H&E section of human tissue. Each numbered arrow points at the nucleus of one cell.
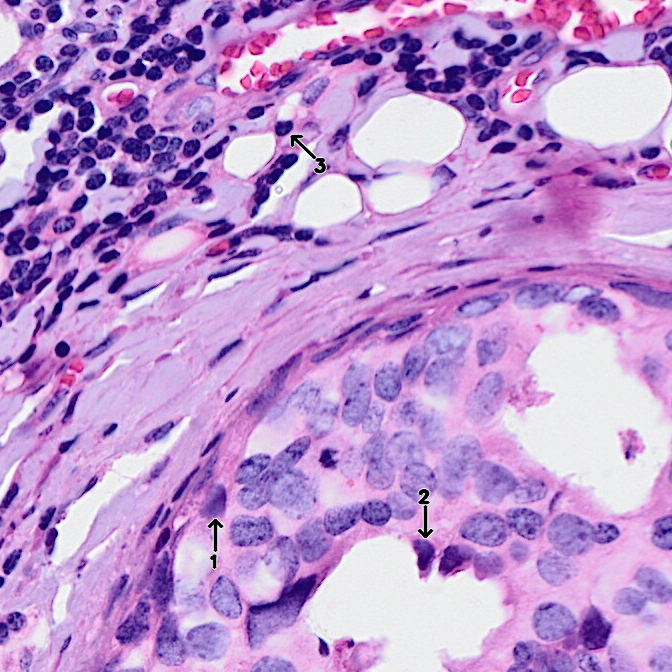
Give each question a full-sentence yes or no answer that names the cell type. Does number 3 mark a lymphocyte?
Yes, and to answer plainly, cell 3 is a lymphocyte.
